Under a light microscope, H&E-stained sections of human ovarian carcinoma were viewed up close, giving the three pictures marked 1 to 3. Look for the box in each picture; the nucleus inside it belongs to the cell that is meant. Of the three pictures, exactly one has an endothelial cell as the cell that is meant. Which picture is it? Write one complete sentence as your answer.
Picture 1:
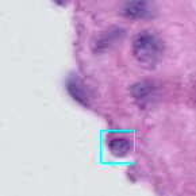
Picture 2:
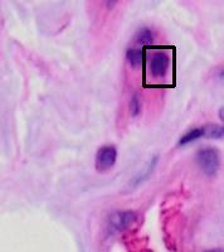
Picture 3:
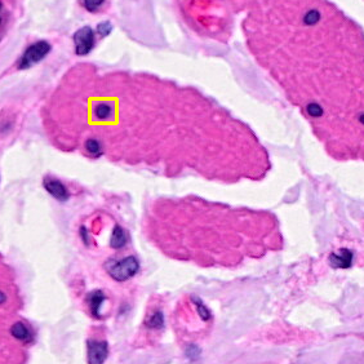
The cell in picture 1 is the endothelial cell.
